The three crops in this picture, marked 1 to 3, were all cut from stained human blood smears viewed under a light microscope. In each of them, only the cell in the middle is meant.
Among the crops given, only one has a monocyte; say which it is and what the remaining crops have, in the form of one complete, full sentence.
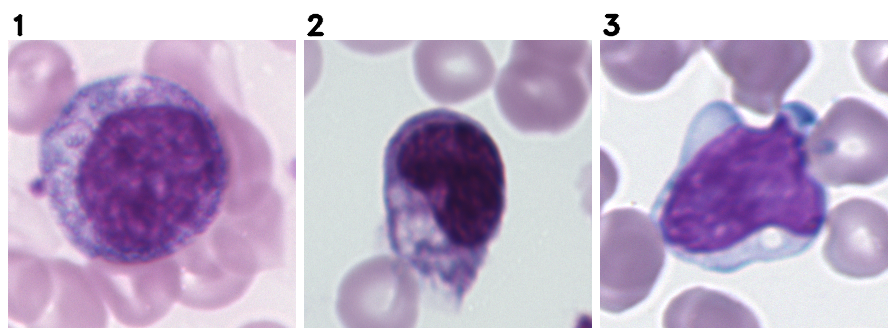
Crop 2 counts as a monocyte, while crop 1 is a promyelocyte and crop 3 is a blast.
